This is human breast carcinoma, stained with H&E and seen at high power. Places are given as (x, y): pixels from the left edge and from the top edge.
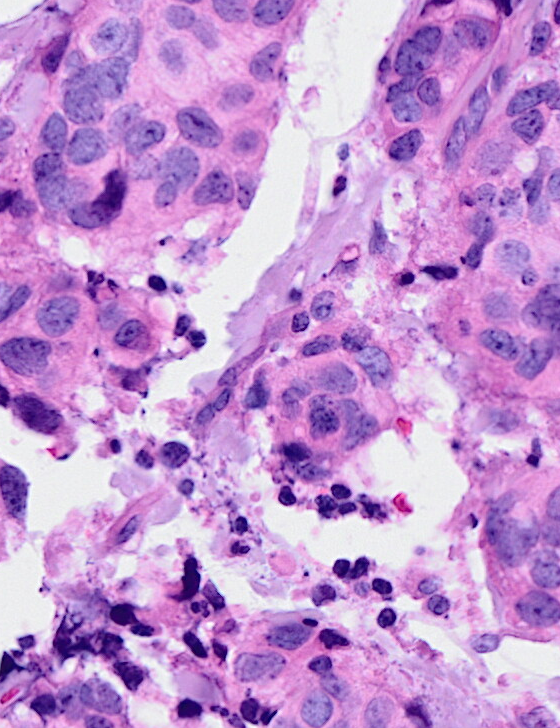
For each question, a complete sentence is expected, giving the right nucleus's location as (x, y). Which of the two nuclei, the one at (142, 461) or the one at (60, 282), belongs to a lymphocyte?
The nucleus at (142, 461), rather than the other one, belongs to a lymphocyte.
